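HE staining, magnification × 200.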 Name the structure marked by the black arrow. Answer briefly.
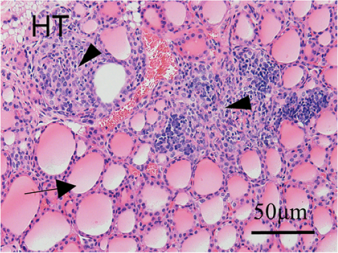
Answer: Thyroid follicle.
